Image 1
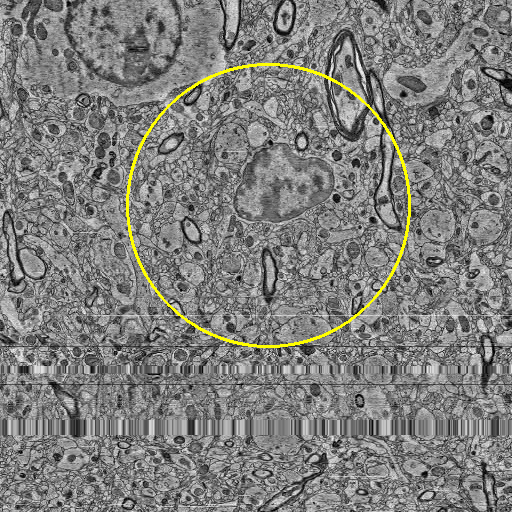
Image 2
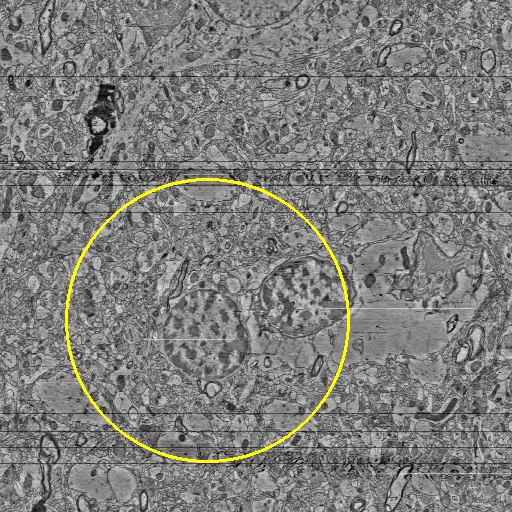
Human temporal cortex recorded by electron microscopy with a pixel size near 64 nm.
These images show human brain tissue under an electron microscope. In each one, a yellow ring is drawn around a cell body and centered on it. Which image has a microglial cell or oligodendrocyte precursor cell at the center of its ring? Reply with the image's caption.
Image 1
